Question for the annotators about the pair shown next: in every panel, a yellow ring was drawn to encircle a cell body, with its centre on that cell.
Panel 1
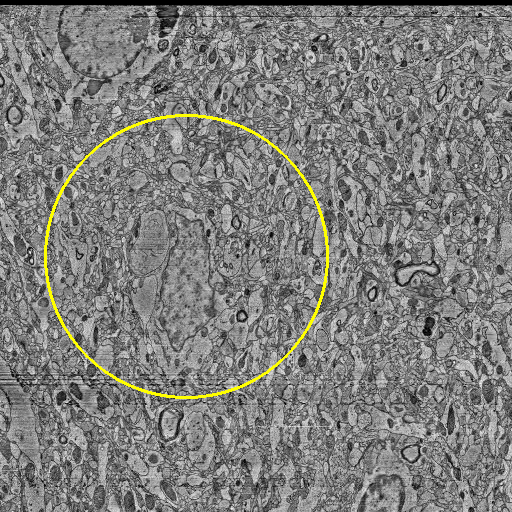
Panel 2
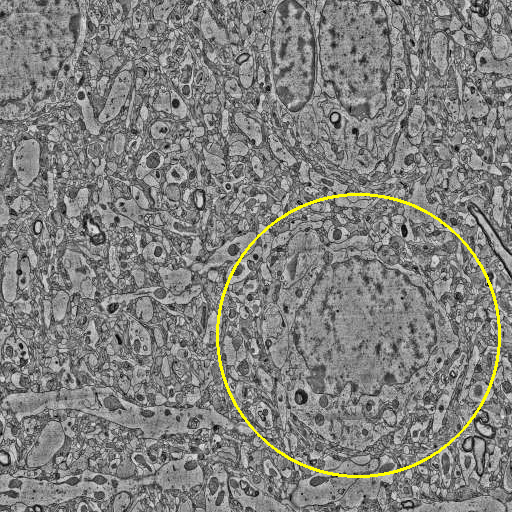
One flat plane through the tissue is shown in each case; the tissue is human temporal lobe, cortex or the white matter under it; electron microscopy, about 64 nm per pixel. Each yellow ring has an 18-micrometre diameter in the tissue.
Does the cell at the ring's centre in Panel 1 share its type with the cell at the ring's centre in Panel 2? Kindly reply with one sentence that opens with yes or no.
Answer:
Yes, in Panels 1 and 2 the cells at the ring centres belong to a single type.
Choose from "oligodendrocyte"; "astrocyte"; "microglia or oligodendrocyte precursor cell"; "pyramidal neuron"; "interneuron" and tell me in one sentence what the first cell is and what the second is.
In both pictures the ring is centred on an interneuron.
